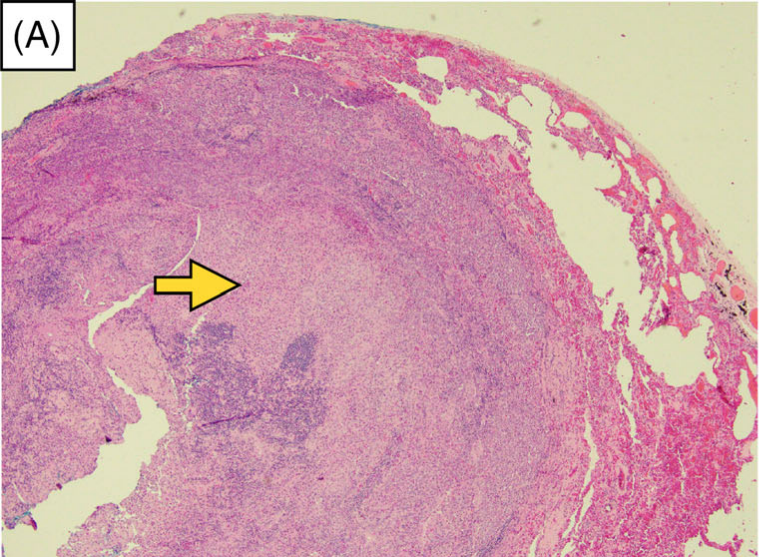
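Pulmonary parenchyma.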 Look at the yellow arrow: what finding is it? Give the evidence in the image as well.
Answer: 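Histiocyte‐like cells aggregate. A large, rounded, pale pink nodule fills much of the field. The nodule is set against looser, air-filled tissue with blood at the right edge. Darker purple clusters of small cells lie within the pale nodule.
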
